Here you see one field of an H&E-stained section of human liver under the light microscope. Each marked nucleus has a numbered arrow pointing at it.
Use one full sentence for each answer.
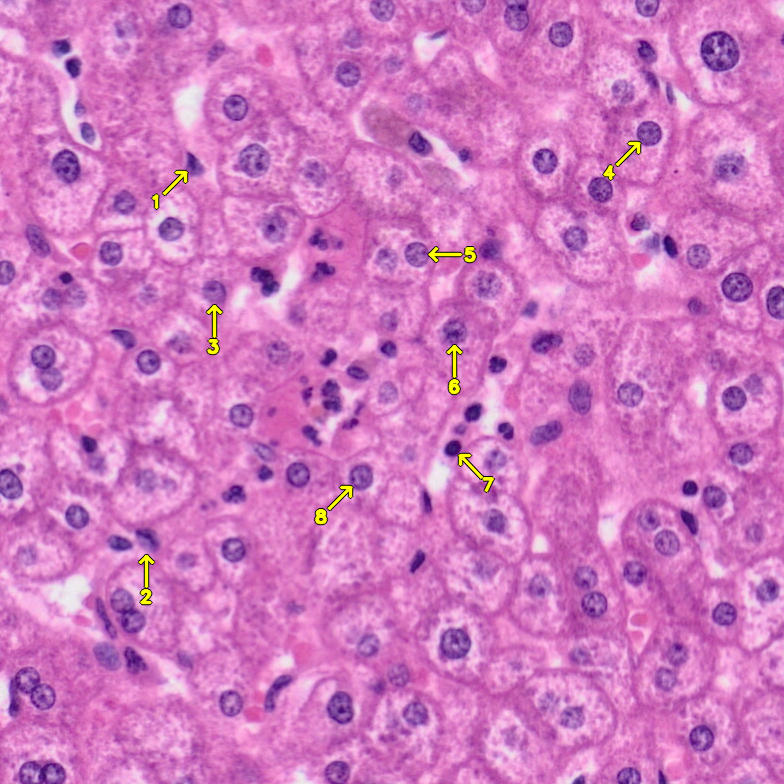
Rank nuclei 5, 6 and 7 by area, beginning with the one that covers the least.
By area, going up from the smallest, they rank 7, 6, 5.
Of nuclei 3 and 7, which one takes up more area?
Nucleus 3 is larger, with an area about 1.5 times that of nucleus 7.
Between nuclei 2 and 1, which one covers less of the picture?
The smaller nucleus is 1, and 2 covers roughly 1.5 times its area.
